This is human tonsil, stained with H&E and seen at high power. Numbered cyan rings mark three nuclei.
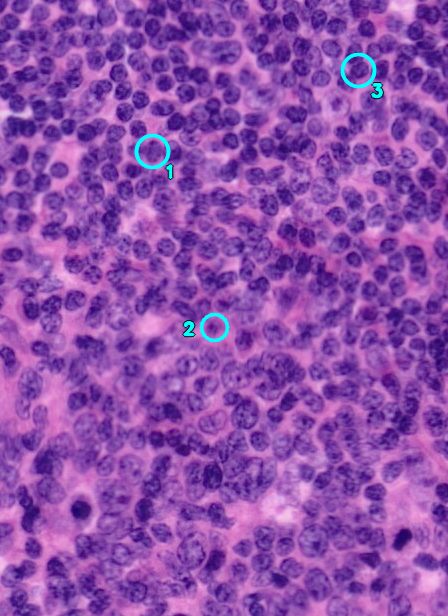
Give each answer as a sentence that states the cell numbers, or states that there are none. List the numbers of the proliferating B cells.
Only number 2 of the marked cells is a proliferating B cell.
